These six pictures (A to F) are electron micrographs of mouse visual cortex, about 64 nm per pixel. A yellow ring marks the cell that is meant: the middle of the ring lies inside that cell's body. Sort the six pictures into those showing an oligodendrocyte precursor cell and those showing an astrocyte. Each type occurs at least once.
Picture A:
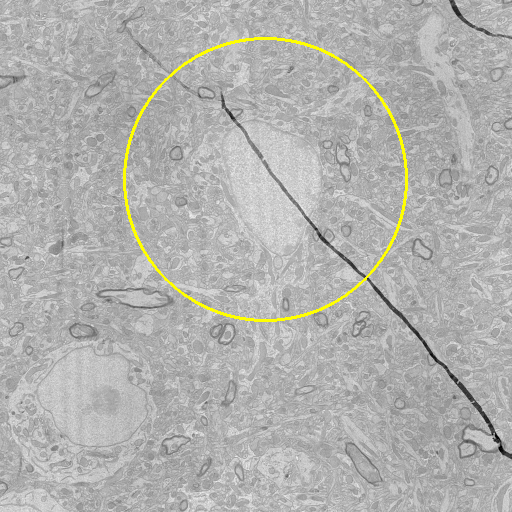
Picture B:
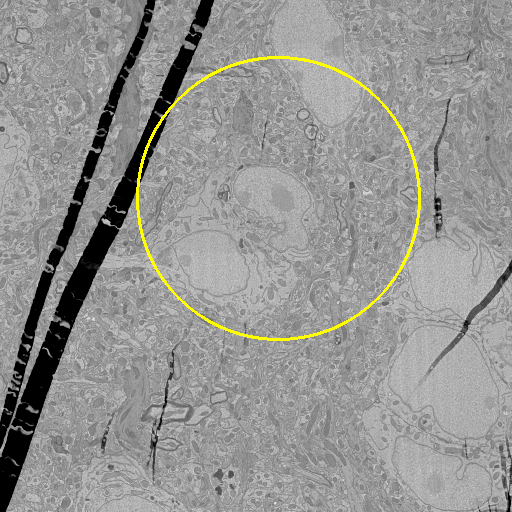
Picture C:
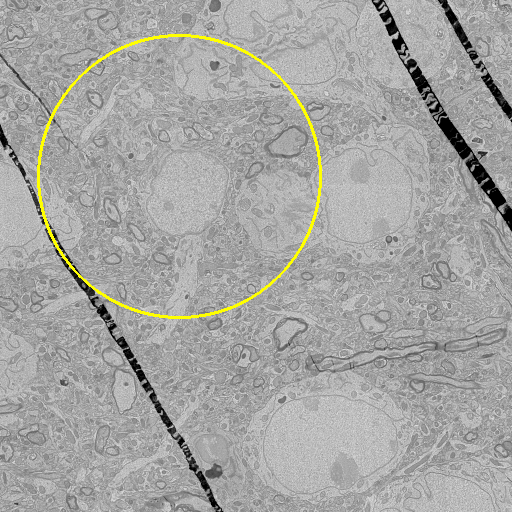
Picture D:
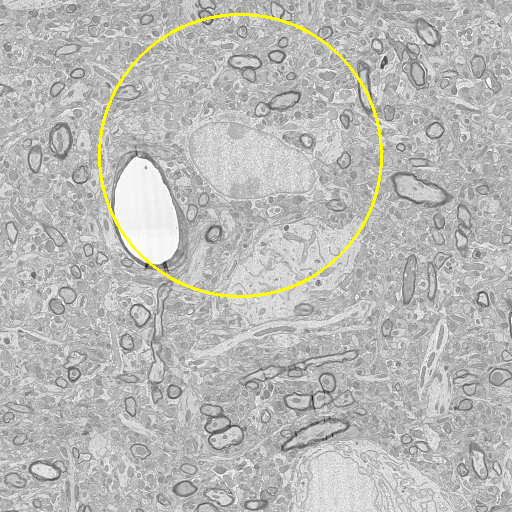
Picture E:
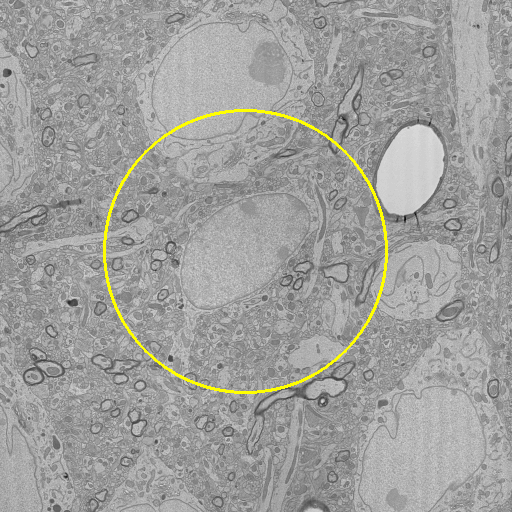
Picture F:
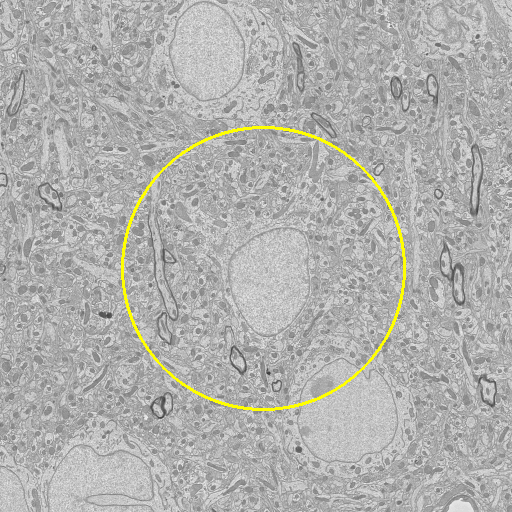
Pictures B and C show oligodendrocyte precursor cells; pictures A, D, E and F show astrocytes.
